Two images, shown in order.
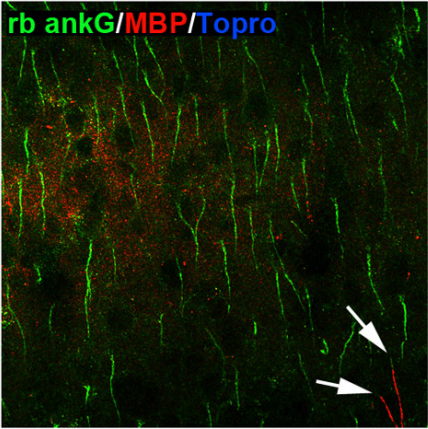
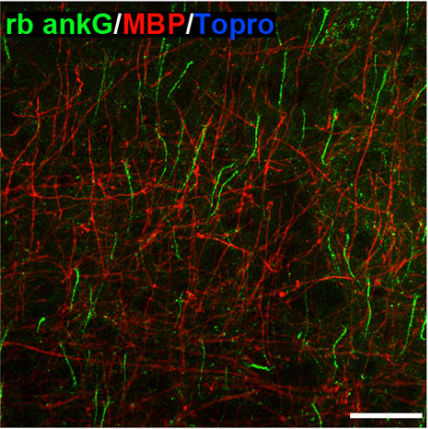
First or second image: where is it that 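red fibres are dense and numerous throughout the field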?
the second image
